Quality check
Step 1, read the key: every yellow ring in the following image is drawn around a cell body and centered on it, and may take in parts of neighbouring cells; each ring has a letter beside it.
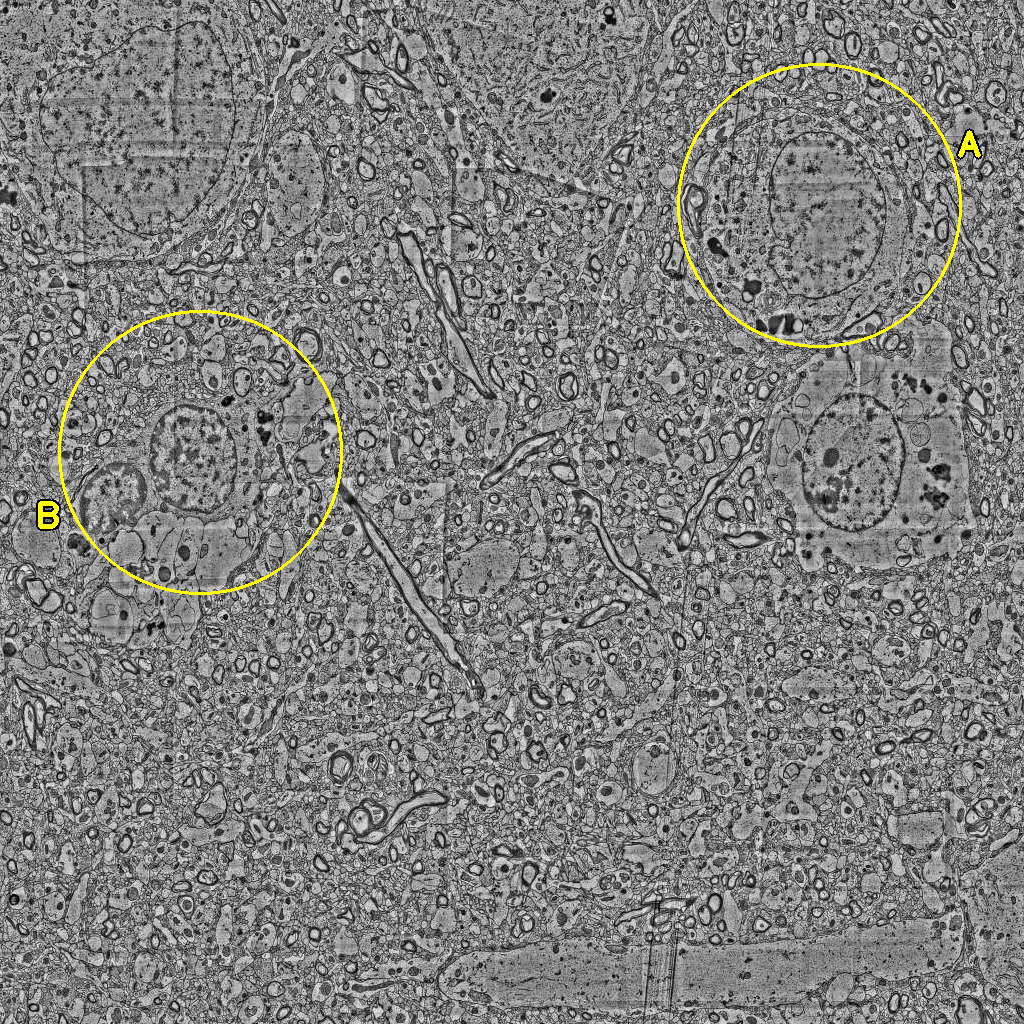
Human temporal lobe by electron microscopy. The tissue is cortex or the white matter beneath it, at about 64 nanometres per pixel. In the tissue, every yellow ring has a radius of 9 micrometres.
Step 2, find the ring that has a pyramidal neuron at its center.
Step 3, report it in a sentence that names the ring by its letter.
Ring A is centered on that cell.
